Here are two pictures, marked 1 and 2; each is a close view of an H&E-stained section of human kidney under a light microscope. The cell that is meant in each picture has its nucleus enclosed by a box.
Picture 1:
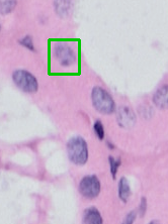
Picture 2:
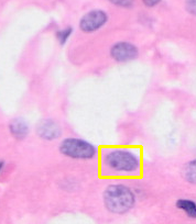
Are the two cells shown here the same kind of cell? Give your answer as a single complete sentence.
Yes, they are the same type: both are “loop of Henle or distal tubule cells”.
